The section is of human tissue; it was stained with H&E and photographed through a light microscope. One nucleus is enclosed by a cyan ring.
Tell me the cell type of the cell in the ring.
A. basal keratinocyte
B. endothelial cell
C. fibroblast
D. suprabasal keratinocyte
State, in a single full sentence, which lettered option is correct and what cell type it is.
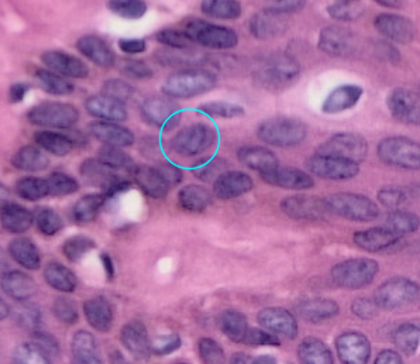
The correct option is A, and the cell in the ring is a basal keratinocyte.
